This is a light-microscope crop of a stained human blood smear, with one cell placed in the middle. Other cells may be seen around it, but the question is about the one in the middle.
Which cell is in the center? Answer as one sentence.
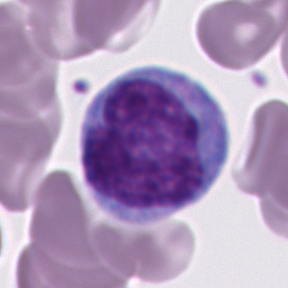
The cell at the middle of the crop is recognized as a monocyte.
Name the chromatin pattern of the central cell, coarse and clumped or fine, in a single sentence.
The nucleus shows chromatin that is coarsely clumped.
